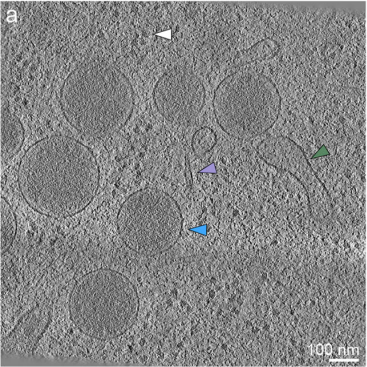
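A slice through the cytoplasm of a cell in an electron tomogram shows several large round membrane-bound granules with finely granular, moderately dense content. Between them run thin tubular and sheet-like membrane profiles of endoplasmic reticulum and a straight hollow microtubule. Small dark ribosome particles are scattered through the granular cytoplasm.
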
